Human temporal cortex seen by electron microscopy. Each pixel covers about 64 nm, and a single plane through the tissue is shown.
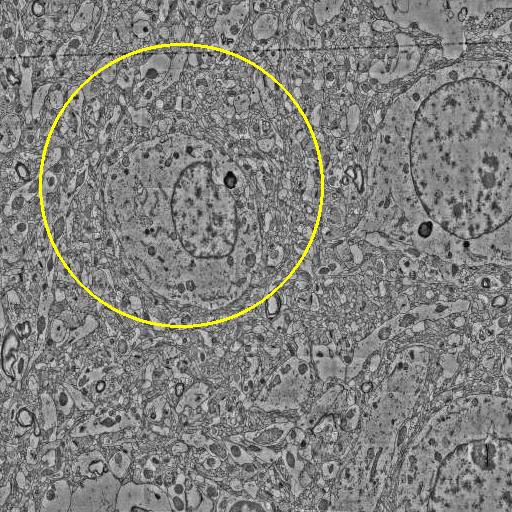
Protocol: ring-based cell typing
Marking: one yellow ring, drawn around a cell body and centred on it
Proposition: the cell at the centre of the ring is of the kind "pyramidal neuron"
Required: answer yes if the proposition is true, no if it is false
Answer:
yes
